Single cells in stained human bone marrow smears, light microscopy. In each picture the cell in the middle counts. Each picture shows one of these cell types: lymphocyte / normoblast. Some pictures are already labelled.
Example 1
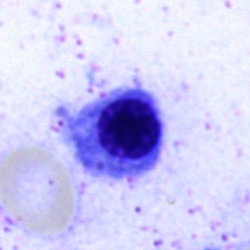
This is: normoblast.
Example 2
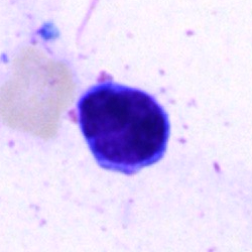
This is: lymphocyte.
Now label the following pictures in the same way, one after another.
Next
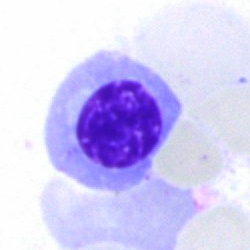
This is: normoblast.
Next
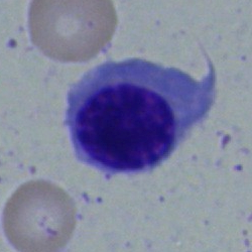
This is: normoblast.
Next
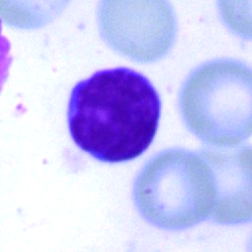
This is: lymphocyte.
